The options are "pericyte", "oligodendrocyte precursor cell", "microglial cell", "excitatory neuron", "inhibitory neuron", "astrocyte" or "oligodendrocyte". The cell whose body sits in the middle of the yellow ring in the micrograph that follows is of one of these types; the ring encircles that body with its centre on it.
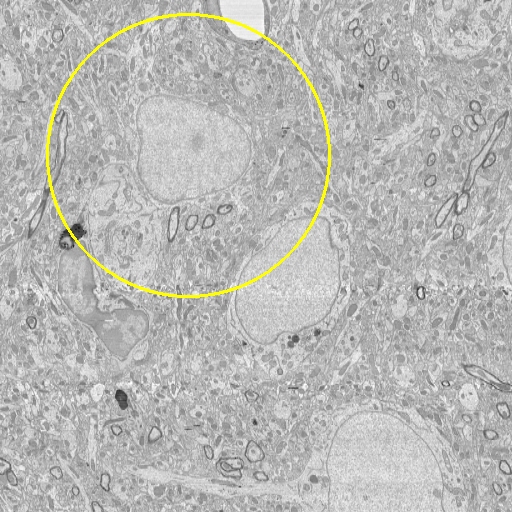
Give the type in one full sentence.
Going by the micrograph, the cell centred in the yellow ring is an astrocyte.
